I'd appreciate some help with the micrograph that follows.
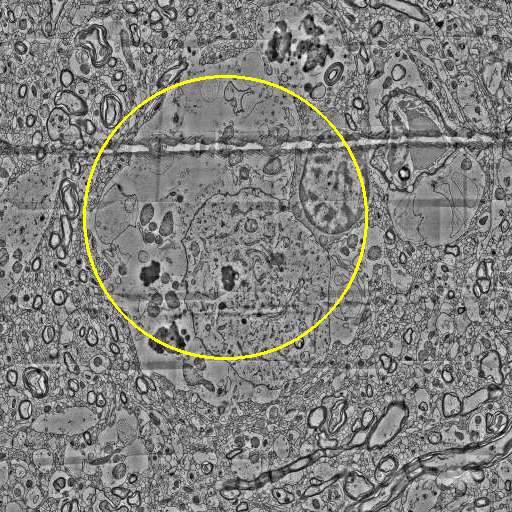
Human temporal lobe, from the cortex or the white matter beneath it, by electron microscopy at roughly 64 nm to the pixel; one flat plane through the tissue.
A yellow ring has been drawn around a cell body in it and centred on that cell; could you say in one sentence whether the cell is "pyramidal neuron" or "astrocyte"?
It is an astrocyte at the centre of the ring.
